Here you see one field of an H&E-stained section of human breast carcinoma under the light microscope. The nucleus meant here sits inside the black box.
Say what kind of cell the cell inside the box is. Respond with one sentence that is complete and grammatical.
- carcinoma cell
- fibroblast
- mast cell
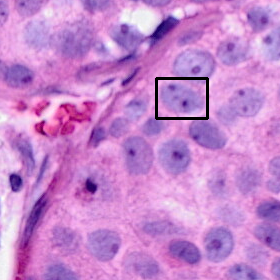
Labelled by cell type, the cell inside the box is a carcinoma cell.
